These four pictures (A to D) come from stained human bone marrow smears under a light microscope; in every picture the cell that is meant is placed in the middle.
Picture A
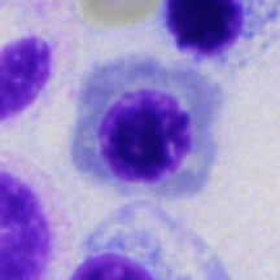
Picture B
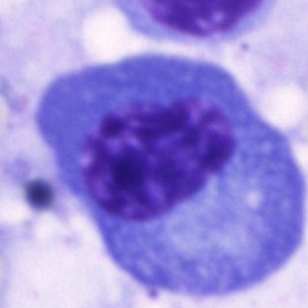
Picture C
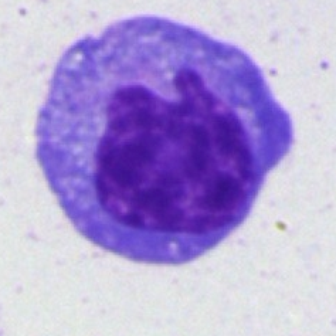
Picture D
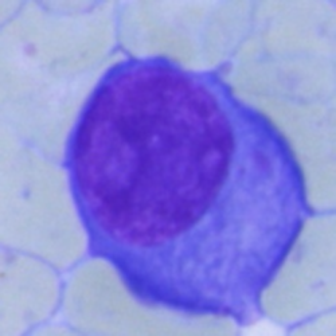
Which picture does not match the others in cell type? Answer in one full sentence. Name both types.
Picture A differs, because its cell is an erythroblast and the rest are plasma cells.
